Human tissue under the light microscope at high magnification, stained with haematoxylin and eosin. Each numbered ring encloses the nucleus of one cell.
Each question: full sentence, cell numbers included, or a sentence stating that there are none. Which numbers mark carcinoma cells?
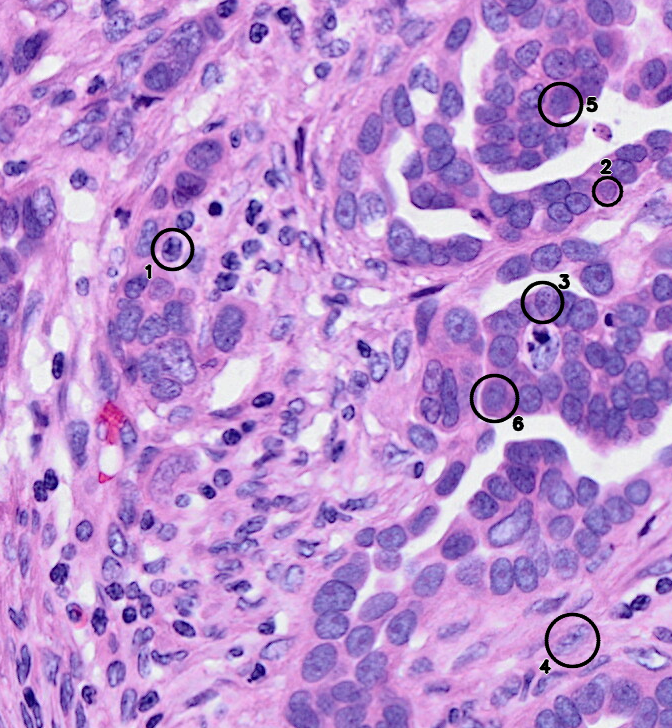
Within the section, cells numbered 2, 3, 5 and 6 are carcinoma cells.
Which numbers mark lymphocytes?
Cell 1 is a lymphocyte; the remaining numbered cells are not.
